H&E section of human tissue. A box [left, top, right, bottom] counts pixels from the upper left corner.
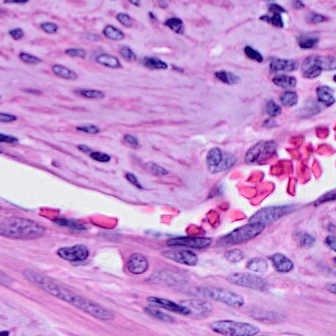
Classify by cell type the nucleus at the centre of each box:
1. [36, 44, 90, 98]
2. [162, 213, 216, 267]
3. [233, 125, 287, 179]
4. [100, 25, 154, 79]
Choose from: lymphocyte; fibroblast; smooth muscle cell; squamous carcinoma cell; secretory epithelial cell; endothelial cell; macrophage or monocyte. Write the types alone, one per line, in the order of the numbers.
smooth muscle cell
endothelial cell
endothelial cell
smooth muscle cell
